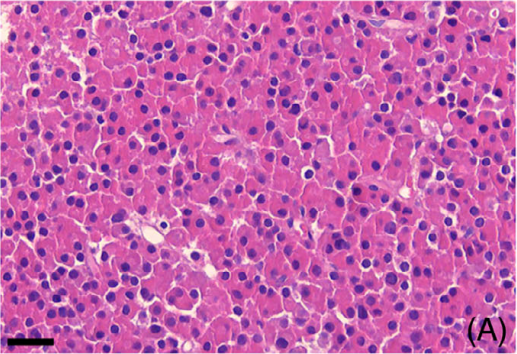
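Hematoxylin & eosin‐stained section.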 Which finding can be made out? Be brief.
densely eosinophilic cytoplasm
